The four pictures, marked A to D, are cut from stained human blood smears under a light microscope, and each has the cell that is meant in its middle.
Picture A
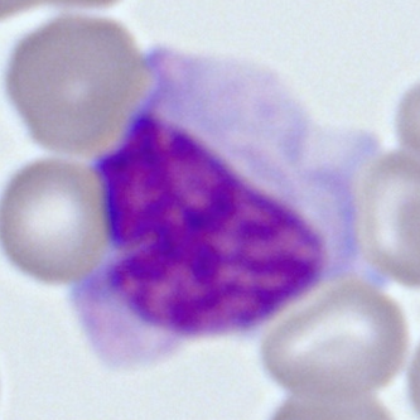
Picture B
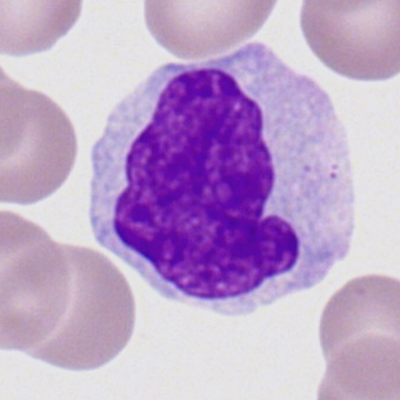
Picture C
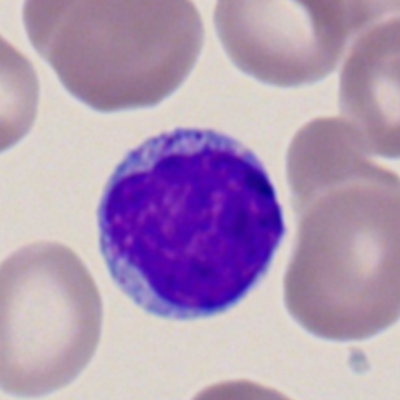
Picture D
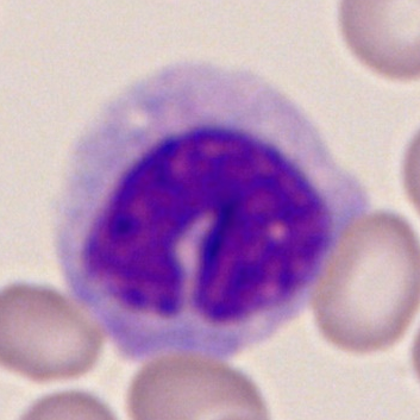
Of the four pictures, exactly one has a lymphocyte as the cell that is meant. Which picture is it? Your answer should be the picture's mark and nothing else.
C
